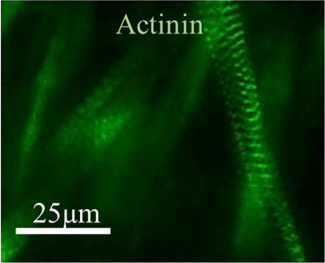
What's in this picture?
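A myotube with sarcomeres crosses the field diagonally, marked by a row of fine, regularly spaced green cross-bands. The striated fibre is narrow and runs from the top toward the lower right. Around it the green is faint and diffuse, in broader cell bodies without clear banding.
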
